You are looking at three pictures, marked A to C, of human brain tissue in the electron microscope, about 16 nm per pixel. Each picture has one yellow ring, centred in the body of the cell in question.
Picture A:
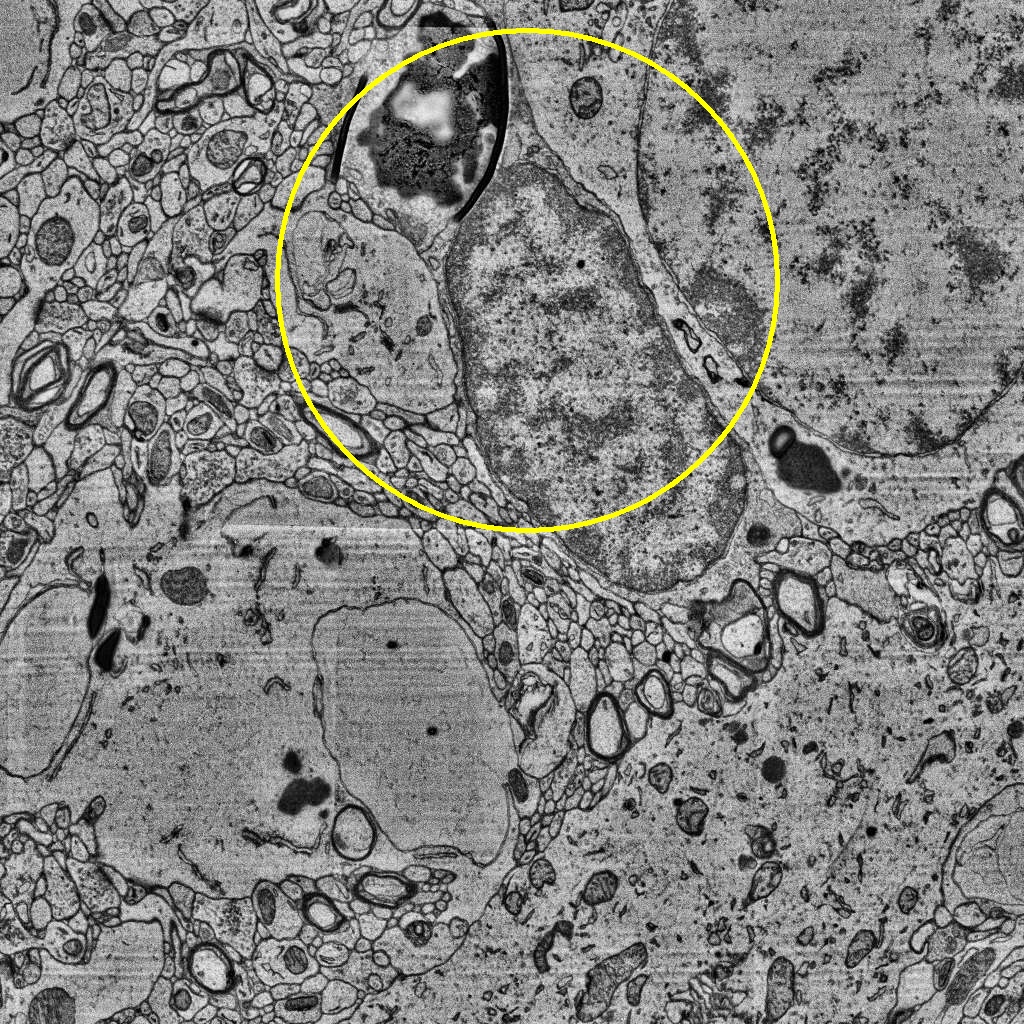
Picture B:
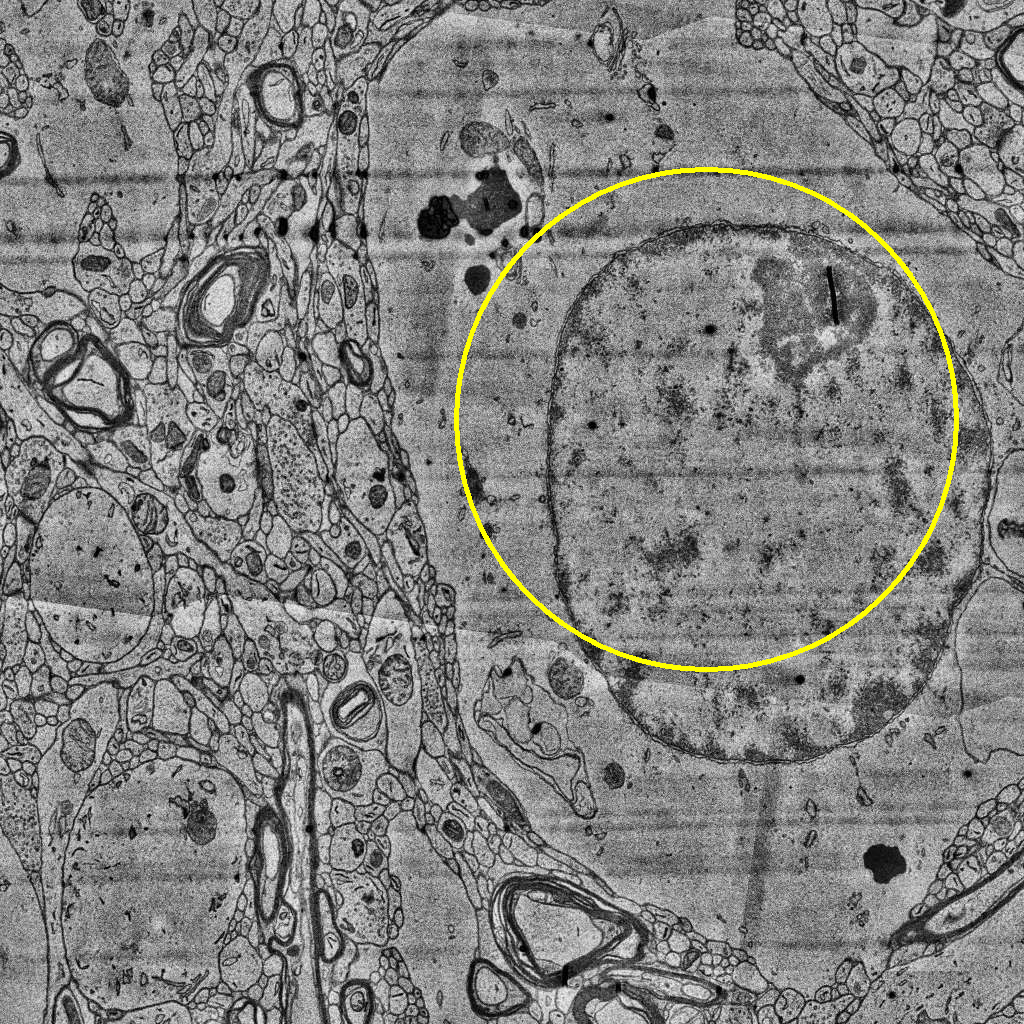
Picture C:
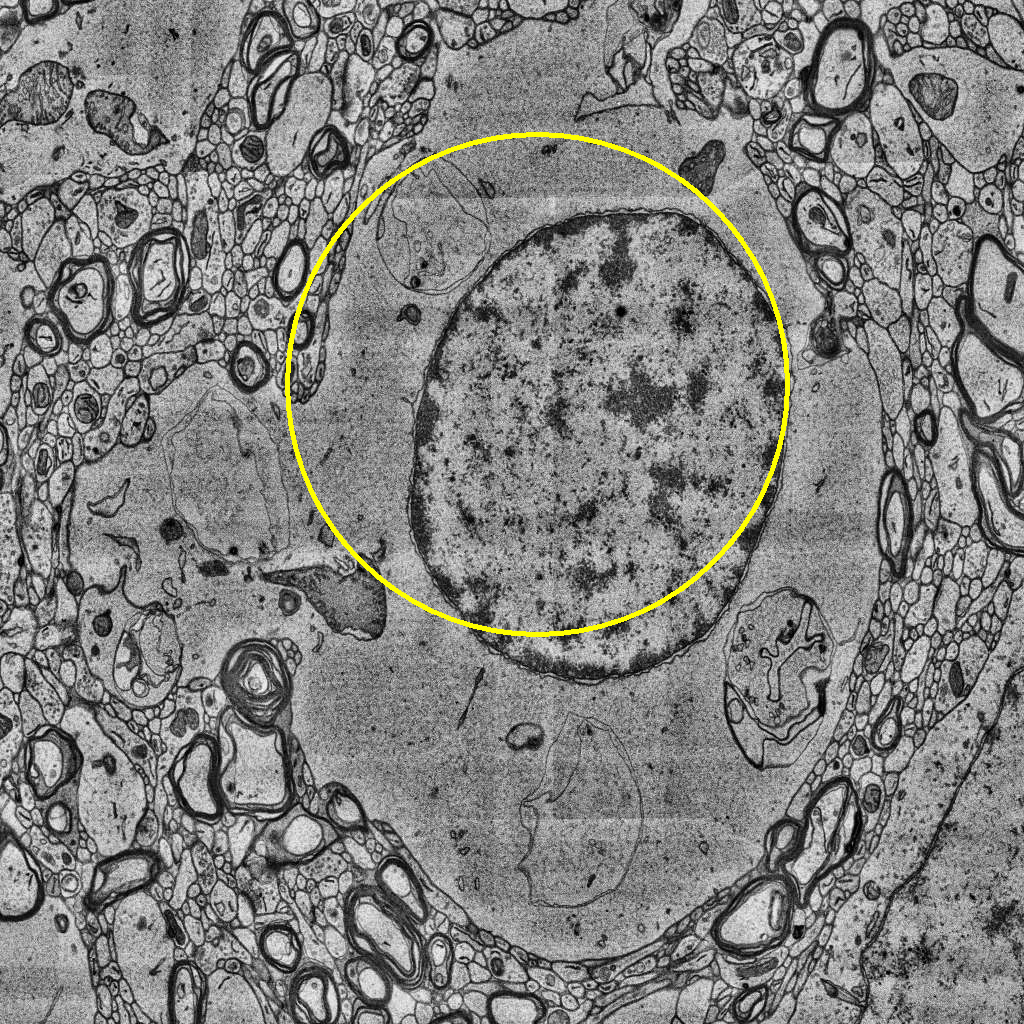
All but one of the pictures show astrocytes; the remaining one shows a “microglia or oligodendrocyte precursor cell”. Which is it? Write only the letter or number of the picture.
A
